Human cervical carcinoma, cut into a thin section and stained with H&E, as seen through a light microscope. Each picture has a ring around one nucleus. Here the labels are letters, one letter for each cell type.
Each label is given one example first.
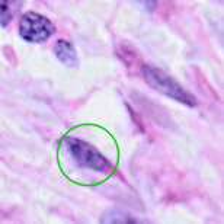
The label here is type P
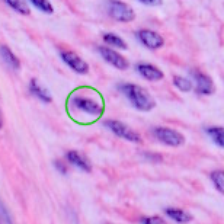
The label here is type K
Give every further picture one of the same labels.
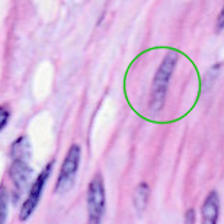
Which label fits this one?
type K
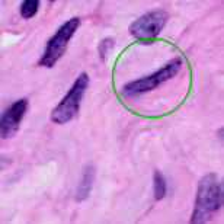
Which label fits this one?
type P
